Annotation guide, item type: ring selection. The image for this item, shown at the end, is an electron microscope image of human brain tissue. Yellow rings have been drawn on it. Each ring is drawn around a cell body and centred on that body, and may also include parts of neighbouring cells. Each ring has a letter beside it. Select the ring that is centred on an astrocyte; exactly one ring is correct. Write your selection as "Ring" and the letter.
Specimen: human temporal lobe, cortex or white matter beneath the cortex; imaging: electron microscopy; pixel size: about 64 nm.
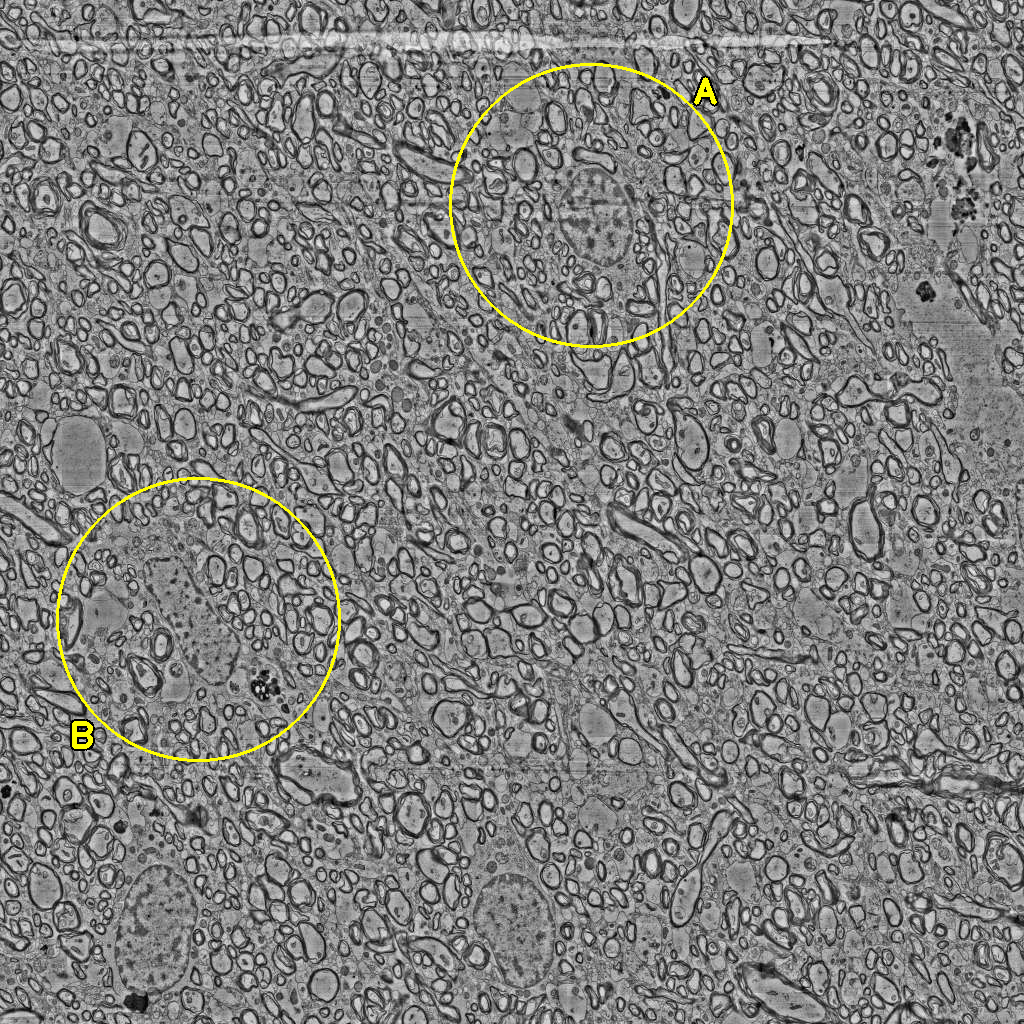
Ring B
